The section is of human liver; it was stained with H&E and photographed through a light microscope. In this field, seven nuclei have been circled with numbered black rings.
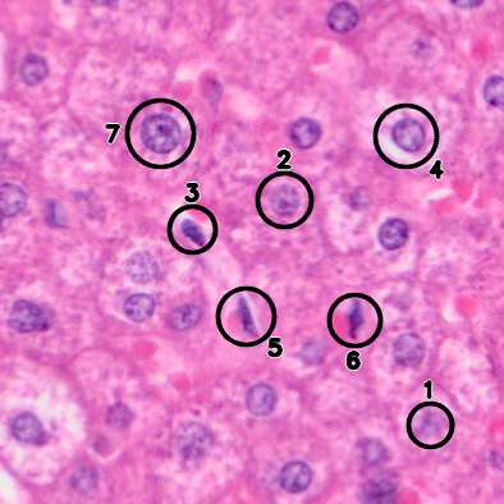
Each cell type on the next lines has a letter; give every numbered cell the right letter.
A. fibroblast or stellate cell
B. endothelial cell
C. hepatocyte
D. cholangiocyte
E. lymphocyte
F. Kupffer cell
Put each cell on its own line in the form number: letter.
1: C
2: C
3: E
4: C
5: B
6: B
7: C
